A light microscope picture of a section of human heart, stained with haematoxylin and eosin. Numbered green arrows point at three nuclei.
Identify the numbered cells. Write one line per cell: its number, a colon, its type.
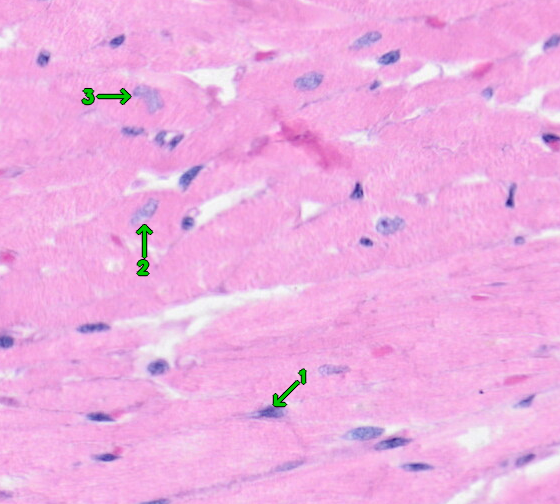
1: endothelial cell
2: cardiomyocyte
3: cardiomyocyte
